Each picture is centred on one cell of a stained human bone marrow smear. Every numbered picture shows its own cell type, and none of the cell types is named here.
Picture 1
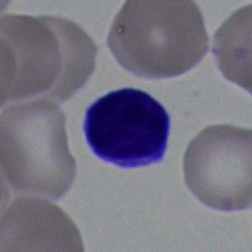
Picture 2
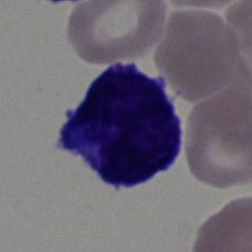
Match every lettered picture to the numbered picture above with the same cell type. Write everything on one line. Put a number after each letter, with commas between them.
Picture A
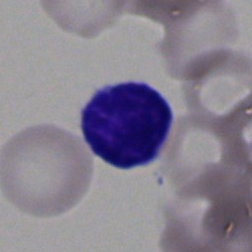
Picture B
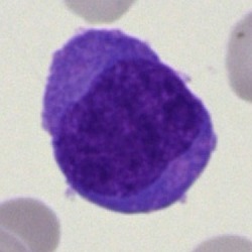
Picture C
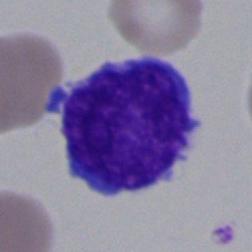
A 1, B 2, C 2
